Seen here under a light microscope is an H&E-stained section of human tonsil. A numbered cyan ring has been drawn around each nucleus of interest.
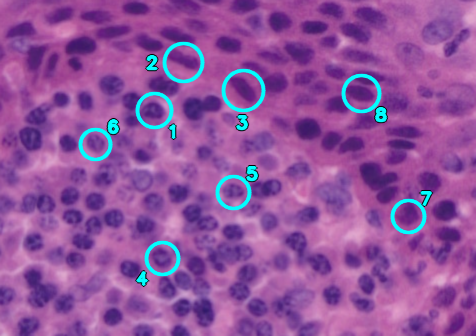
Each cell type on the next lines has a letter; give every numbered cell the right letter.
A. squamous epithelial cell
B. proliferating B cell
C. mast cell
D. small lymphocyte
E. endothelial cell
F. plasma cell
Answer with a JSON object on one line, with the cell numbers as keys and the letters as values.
{"1": "F", "2": "A", "3": "A", "4": "F", "5": "F", "6": "F", "7": "A", "8": "A"}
